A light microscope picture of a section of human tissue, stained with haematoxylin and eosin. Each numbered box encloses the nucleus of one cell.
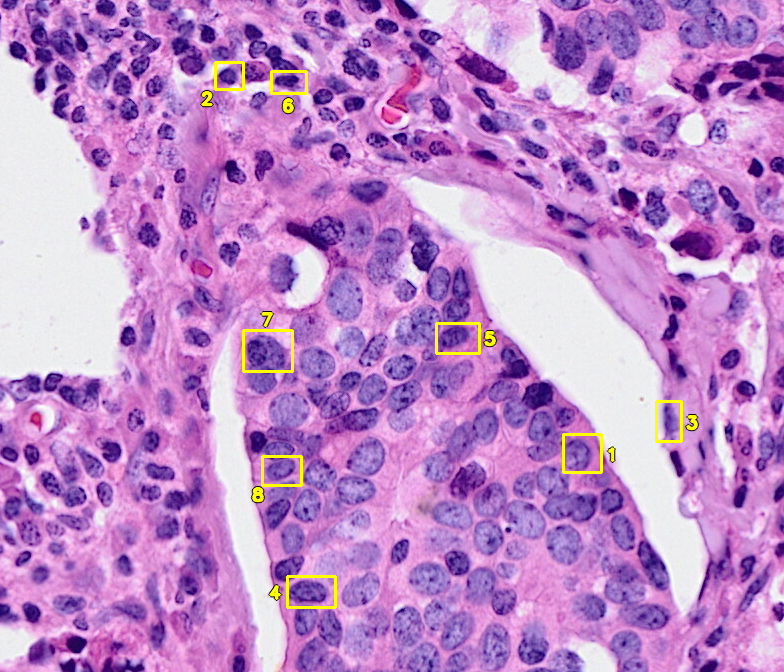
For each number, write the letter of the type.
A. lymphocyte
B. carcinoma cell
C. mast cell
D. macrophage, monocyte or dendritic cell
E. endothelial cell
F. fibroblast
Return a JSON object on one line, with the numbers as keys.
{"1": "B", "2": "A", "3": "F", "4": "B", "5": "B", "6": "A", "7": "B", "8": "B"}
